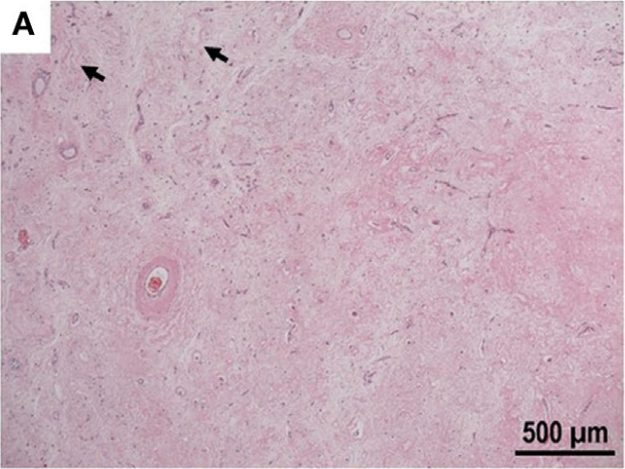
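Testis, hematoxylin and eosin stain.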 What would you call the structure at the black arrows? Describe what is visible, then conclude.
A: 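Hyalinized tubular Ghosts. Round pale pink outlines without cells inside lie in a broad eosinophilic scar. Few nuclei are seen in the glassy pink background.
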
